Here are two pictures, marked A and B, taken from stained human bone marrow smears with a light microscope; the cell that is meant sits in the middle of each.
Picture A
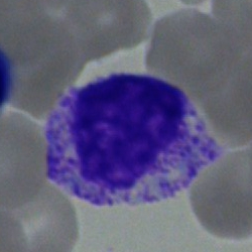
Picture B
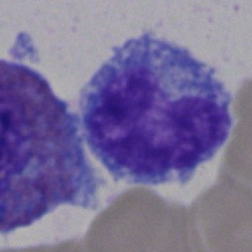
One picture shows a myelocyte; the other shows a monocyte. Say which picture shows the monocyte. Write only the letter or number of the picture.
B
